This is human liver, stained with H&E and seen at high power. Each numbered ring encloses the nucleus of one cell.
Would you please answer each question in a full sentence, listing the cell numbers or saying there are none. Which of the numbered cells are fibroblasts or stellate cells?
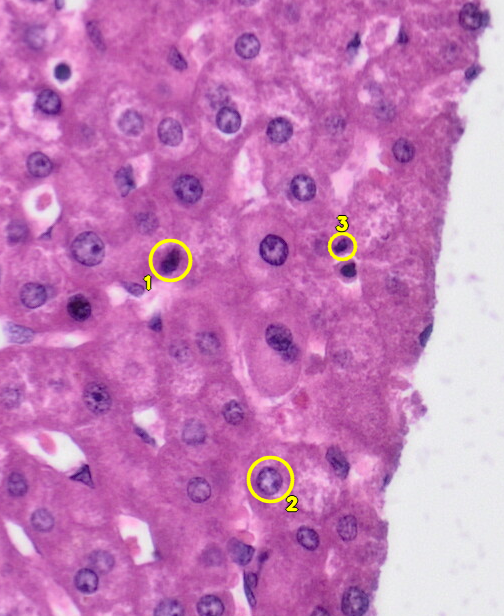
Cells 1 and 3 are recognised here as fibroblasts or stellate cells.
